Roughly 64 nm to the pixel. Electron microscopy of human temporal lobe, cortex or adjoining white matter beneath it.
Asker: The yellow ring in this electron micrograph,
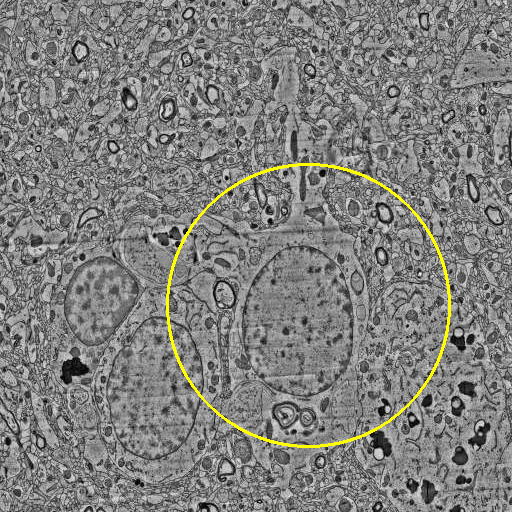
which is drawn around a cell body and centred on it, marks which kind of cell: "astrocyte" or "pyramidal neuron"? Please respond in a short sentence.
The marked cell is an astrocyte.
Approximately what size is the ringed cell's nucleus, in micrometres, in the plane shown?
Approximately 10 by 7 micrometers in this plane.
